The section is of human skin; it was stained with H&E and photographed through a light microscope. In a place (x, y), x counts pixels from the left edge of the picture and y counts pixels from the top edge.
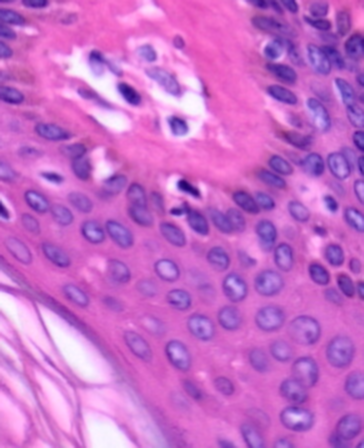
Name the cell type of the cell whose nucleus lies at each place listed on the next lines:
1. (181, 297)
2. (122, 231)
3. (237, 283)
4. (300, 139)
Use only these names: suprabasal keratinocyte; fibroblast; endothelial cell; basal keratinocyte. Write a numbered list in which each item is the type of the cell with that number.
1. suprabasal keratinocyte
2. suprabasal keratinocyte
3. suprabasal keratinocyte
4. basal keratinocyte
